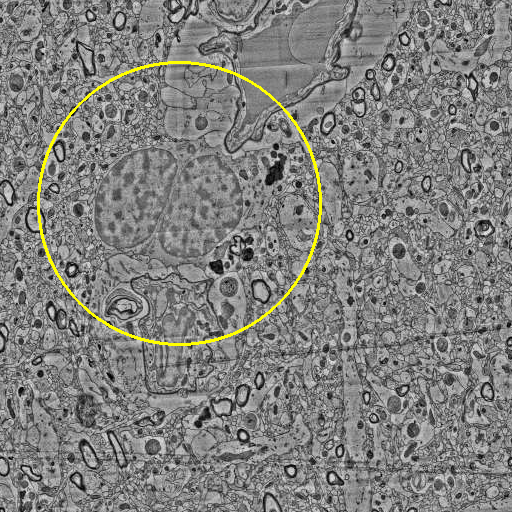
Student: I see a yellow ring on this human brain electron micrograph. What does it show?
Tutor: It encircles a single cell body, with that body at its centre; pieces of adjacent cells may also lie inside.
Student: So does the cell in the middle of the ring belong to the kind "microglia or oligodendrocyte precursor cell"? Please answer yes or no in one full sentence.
No, that cell at the centre of the ring is one of another kind.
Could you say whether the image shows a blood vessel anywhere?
Yes, one appears.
